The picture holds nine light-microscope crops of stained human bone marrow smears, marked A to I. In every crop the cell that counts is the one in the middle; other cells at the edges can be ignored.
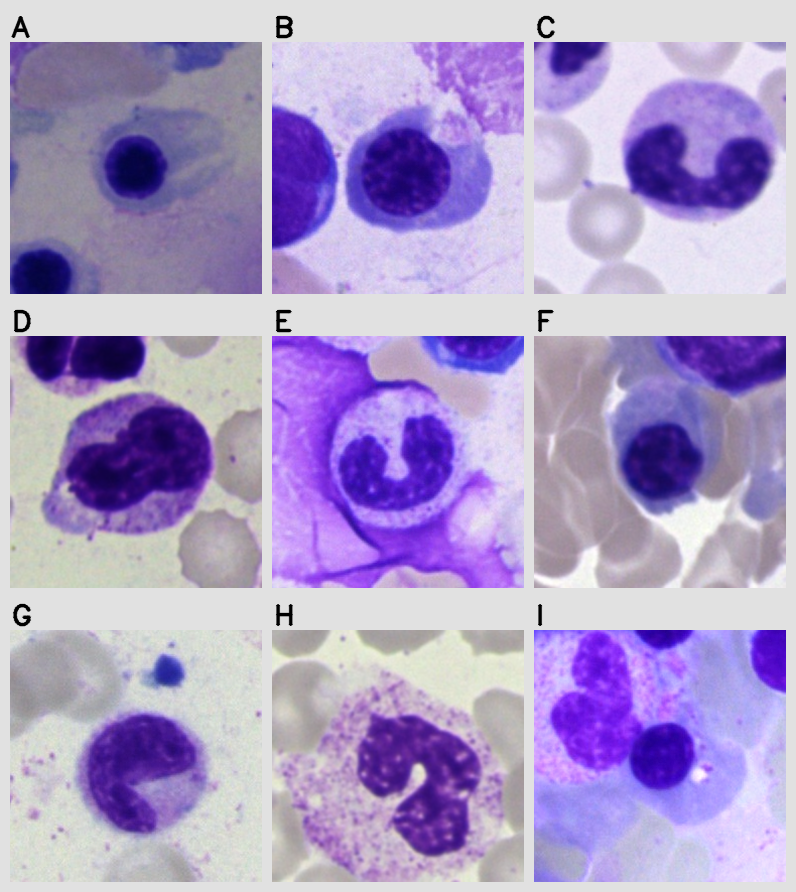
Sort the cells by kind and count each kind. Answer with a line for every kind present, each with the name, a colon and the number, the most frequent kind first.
band neutrophil: 5
erythroblast: 4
